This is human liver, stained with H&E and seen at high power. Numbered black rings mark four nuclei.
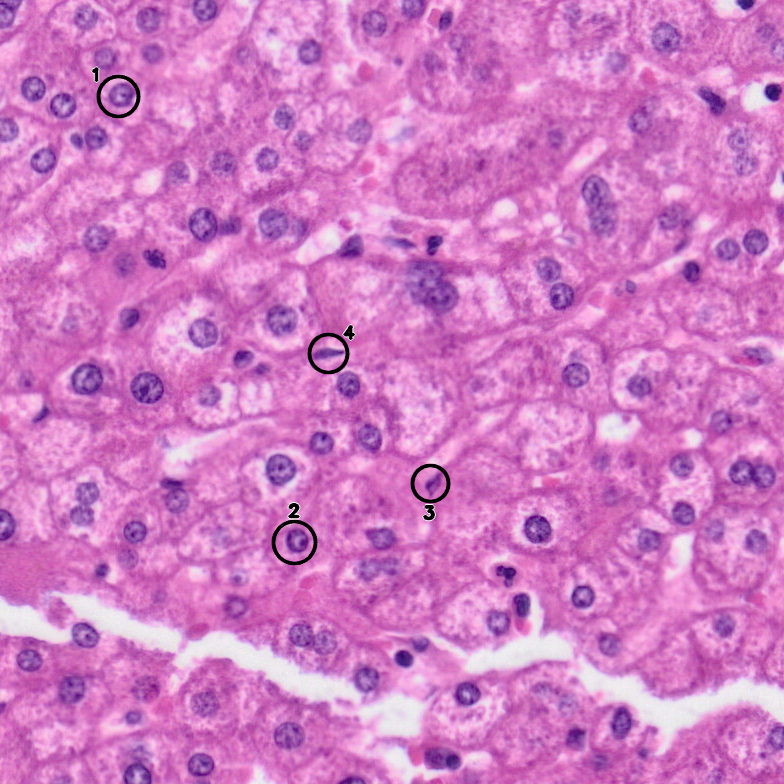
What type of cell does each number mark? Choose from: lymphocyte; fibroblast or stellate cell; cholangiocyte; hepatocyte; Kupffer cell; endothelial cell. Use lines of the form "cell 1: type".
cell 1: hepatocyte
cell 2: hepatocyte
cell 3: endothelial cell
cell 4: endothelial cell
